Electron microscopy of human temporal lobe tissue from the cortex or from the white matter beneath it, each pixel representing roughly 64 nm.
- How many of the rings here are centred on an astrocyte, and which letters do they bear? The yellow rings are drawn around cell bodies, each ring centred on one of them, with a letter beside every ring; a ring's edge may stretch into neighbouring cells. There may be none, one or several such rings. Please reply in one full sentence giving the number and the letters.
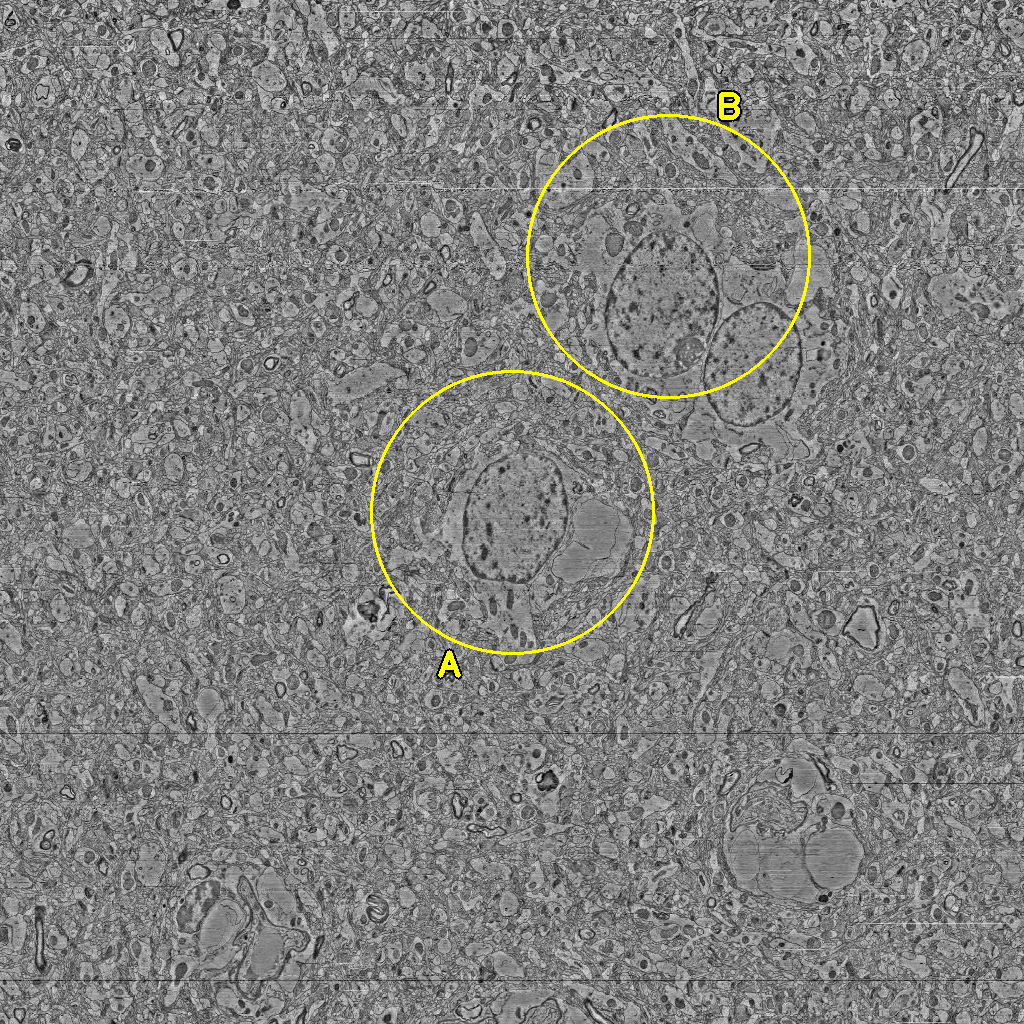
The two rings each centred on an astrocyte are identified by the letters A and B.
